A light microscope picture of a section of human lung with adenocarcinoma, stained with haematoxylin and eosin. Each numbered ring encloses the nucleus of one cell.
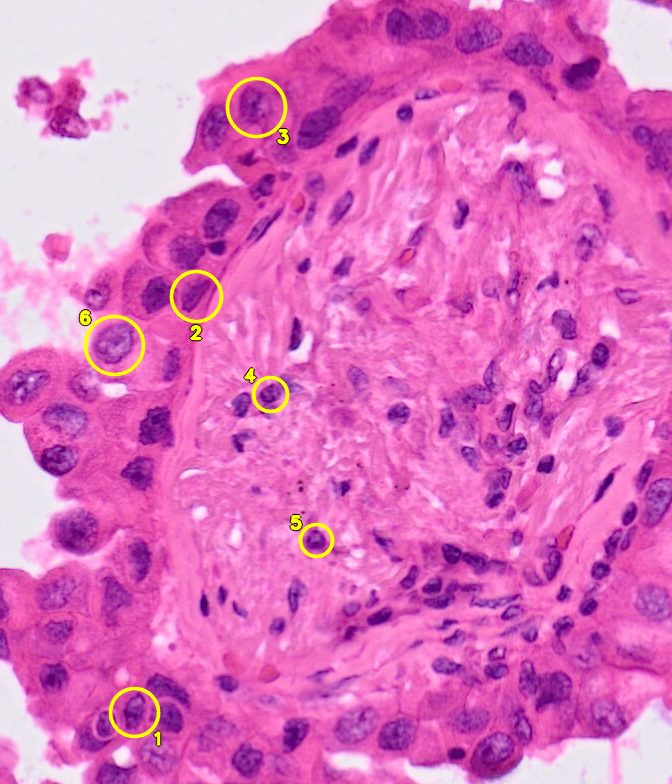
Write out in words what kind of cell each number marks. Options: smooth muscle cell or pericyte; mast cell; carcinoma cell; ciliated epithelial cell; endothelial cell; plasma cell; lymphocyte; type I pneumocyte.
Cells 1, 2, 3 and 6 are carcinoma cells. Cells 4 and 5 are plasma cells.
